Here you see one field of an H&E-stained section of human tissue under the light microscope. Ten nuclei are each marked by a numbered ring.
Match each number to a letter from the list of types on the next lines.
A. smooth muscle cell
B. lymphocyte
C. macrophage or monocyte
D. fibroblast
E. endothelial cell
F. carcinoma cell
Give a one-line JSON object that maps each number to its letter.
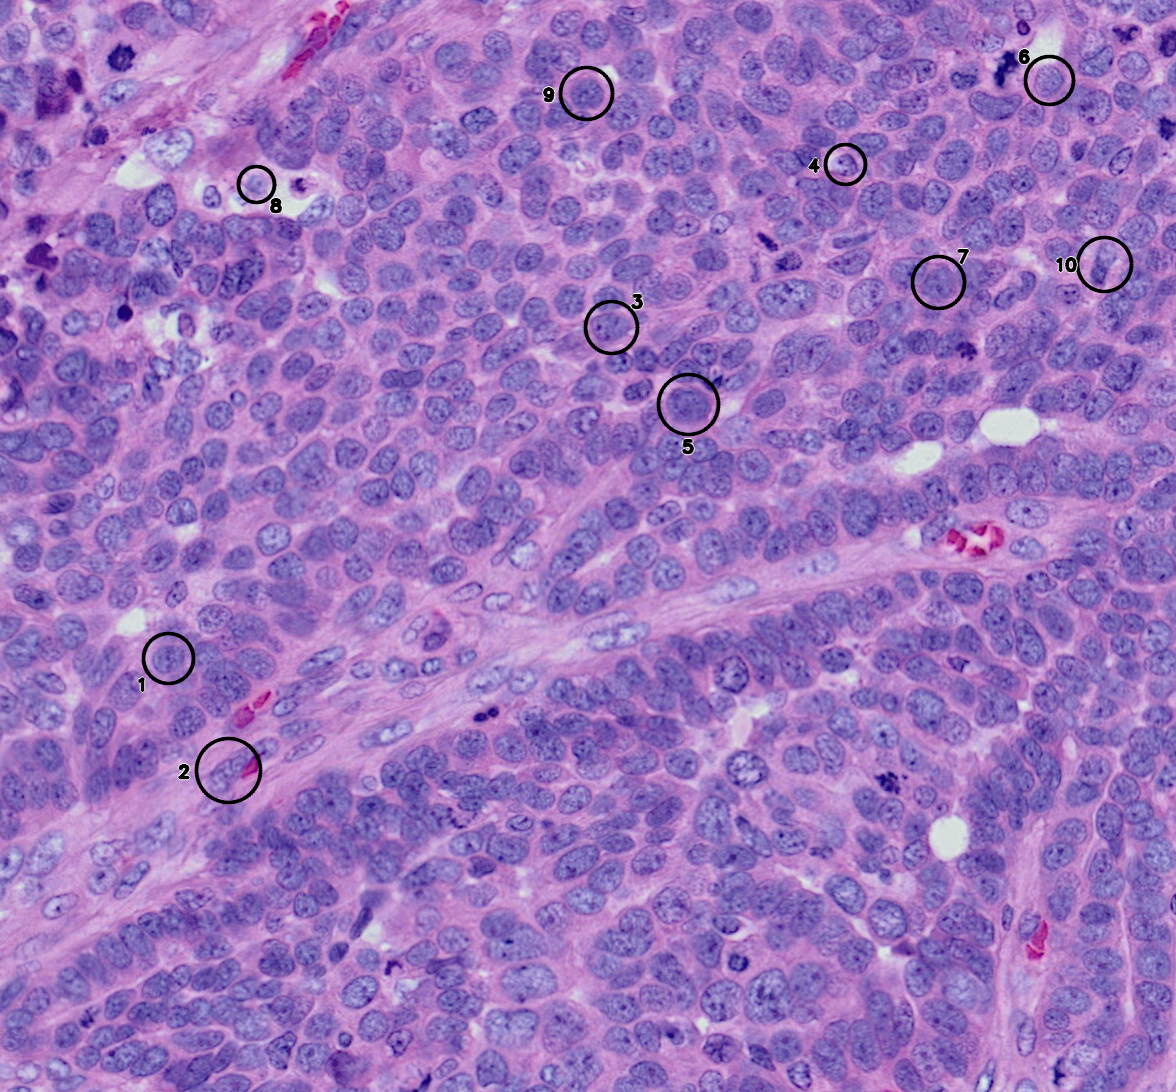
{"1": "F", "2": "E", "3": "F", "4": "C", "5": "F", "6": "F", "7": "F", "8": "C", "9": "F", "10": "C"}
